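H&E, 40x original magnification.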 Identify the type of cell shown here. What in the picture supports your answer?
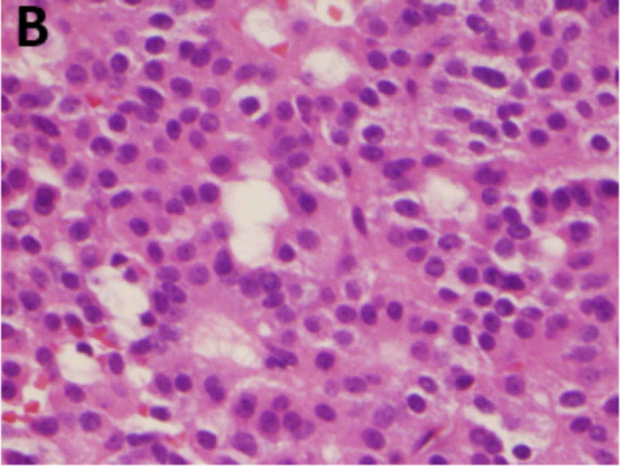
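Uniform cells with round to oval nuclei. Cells packed together with pale pink cytoplasm.
Conclusion: epithelial-like cells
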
